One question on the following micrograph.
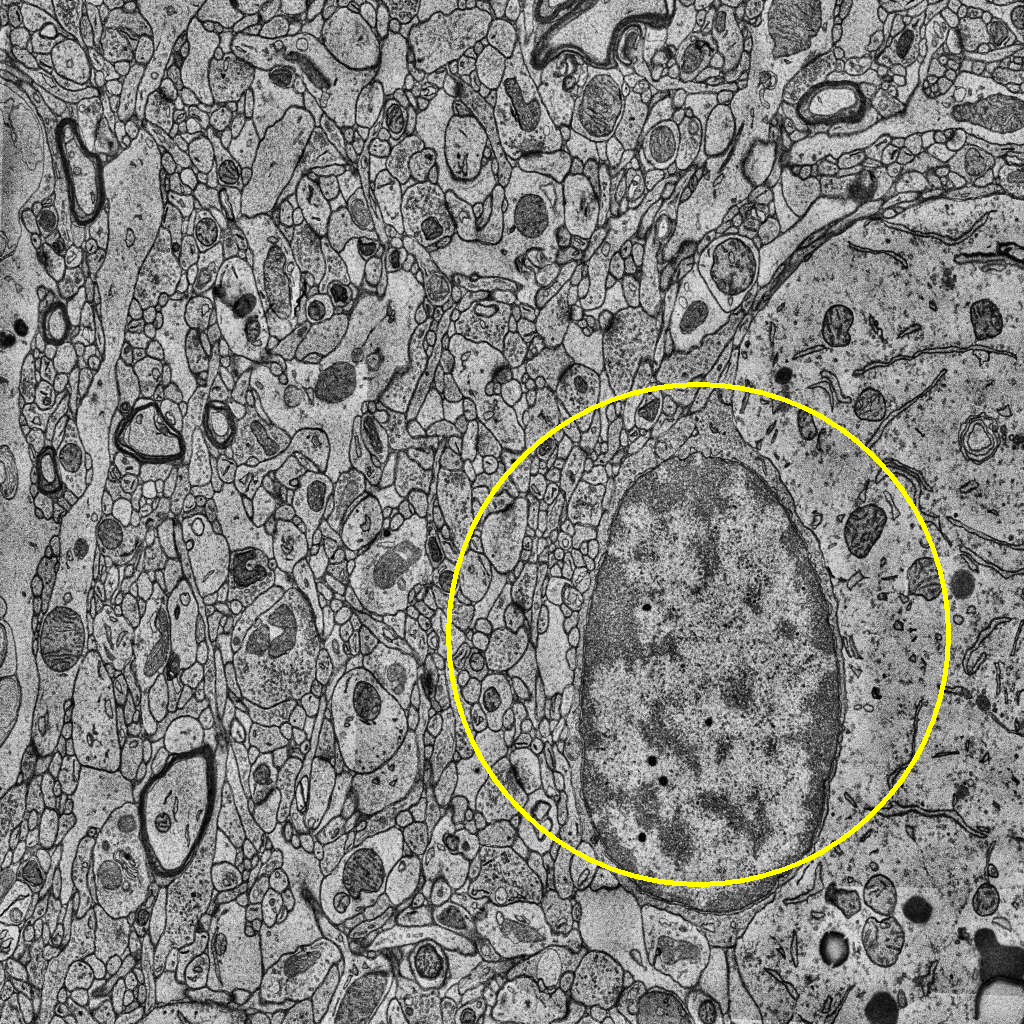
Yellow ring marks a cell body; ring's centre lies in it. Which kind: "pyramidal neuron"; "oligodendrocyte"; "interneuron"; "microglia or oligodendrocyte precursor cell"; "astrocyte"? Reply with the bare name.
oligodendrocyte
